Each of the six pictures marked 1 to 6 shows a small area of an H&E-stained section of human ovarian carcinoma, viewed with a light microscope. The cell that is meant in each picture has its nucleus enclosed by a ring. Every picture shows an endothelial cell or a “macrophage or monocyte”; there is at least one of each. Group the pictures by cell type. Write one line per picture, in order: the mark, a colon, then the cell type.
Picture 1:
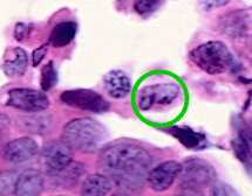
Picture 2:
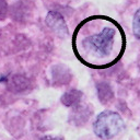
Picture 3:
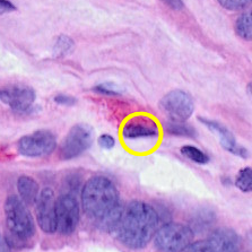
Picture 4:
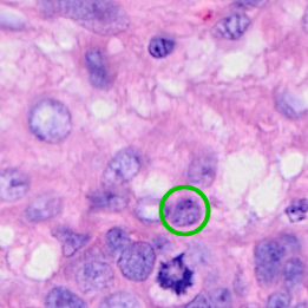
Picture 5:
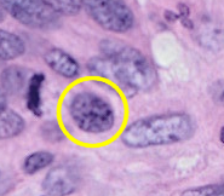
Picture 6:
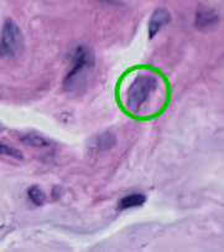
1: macrophage or monocyte
2: macrophage or monocyte
3: endothelial cell
4: macrophage or monocyte
5: macrophage or monocyte
6: endothelial cell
